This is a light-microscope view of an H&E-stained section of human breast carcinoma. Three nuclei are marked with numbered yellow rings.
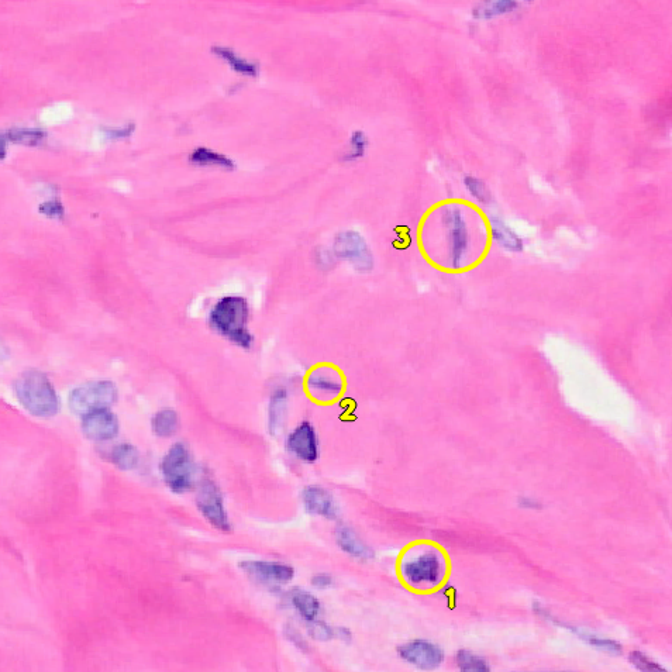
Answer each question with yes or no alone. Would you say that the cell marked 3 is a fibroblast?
yes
